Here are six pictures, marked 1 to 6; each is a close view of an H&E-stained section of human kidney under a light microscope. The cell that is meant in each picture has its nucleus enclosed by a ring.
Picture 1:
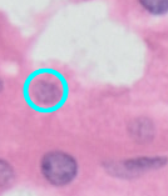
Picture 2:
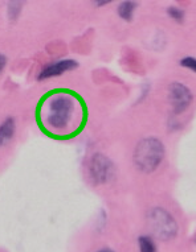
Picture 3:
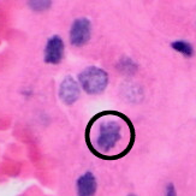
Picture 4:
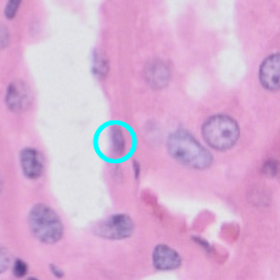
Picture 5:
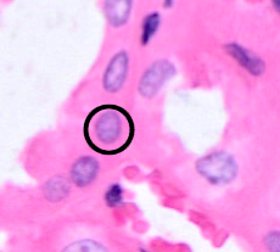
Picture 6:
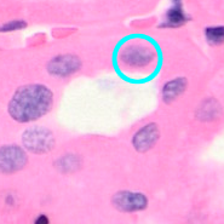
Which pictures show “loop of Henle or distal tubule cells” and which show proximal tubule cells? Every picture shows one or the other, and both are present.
1: proximal tubule cell
2: loop of Henle or distal tubule cell
3: loop of Henle or distal tubule cell
4: loop of Henle or distal tubule cell
5: proximal tubule cell
6: loop of Henle or distal tubule cell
